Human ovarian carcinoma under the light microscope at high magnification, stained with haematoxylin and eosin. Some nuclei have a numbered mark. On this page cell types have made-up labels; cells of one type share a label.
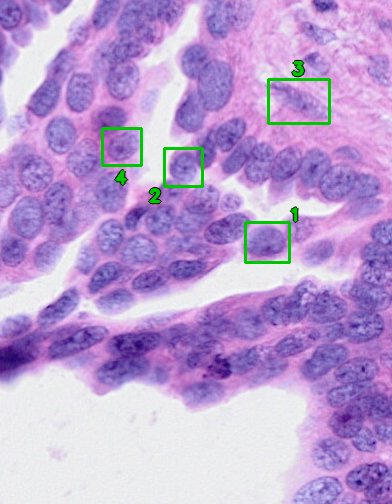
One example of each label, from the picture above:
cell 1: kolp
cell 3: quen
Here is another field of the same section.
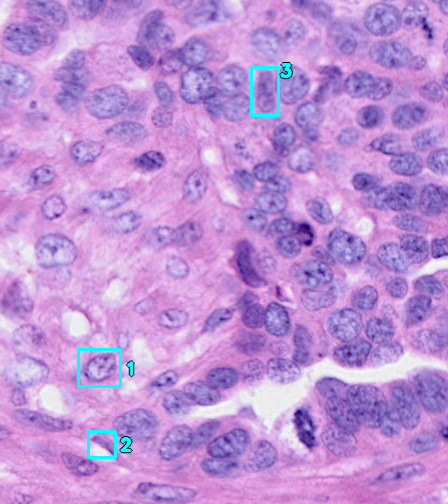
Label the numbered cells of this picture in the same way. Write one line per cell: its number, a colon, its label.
1: quen
2: quen
3: kolp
